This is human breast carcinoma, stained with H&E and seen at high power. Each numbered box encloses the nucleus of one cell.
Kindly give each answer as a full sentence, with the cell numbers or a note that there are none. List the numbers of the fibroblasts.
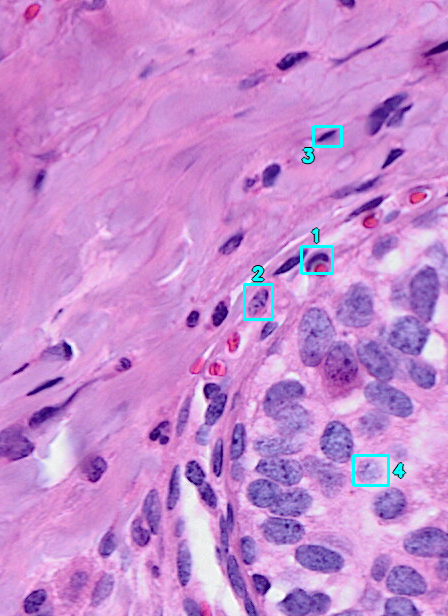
Cell 3 is a fibroblast, and that holds for no other numbered cell.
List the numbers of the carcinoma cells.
The only cell among those numbered to be a carcinoma cell is number 4.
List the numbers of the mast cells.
Of the cells marked with numbers, cell 2 is the only one that is a mast cell.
